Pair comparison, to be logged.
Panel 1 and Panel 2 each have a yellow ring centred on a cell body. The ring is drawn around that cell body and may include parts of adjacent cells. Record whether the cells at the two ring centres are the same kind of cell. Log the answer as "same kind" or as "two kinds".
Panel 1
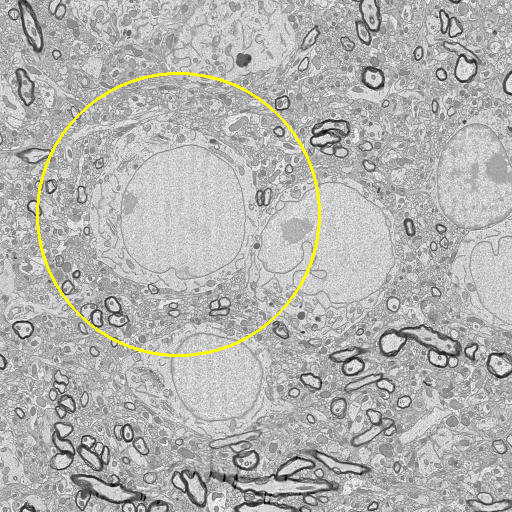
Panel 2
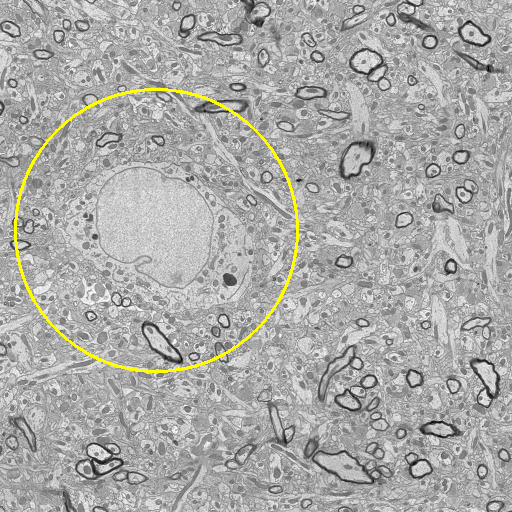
same kind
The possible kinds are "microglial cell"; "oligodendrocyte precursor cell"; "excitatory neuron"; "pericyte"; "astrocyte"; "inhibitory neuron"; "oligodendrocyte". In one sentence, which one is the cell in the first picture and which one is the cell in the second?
Each of the two rings surrounds an excitatory neuron.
